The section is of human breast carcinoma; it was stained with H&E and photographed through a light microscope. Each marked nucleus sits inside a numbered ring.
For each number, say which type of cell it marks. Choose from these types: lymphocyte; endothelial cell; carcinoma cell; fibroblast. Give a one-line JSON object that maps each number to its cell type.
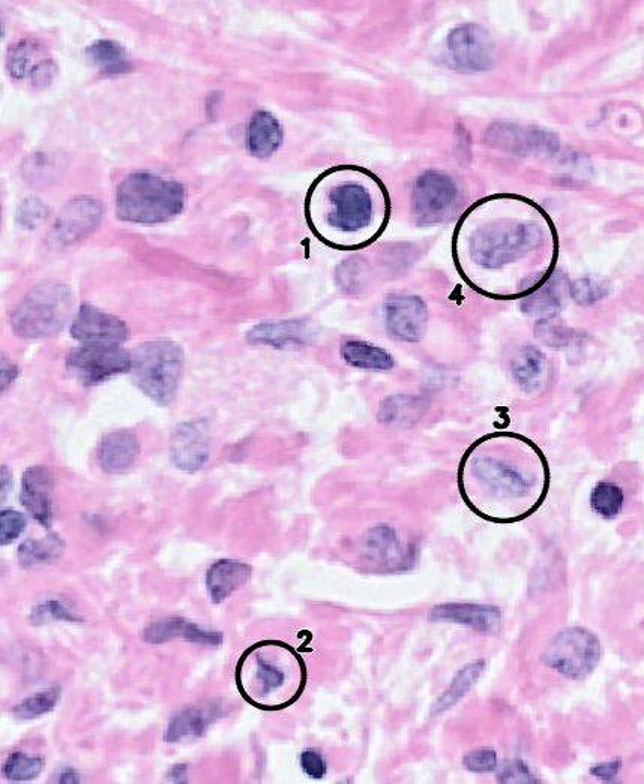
{"1": "lymphocyte", "2": "fibroblast", "3": "fibroblast", "4": "carcinoma cell"}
